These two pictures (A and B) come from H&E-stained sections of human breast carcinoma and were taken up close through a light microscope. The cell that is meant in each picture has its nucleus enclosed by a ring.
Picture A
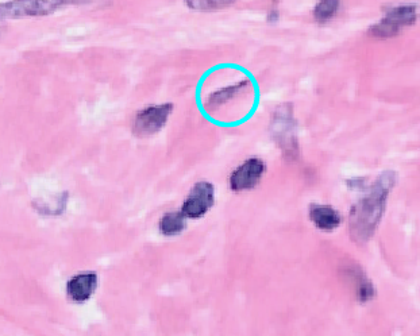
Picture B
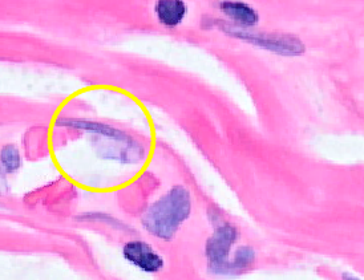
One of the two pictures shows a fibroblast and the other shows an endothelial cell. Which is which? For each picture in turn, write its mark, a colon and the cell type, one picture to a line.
A: fibroblast
B: endothelial cell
